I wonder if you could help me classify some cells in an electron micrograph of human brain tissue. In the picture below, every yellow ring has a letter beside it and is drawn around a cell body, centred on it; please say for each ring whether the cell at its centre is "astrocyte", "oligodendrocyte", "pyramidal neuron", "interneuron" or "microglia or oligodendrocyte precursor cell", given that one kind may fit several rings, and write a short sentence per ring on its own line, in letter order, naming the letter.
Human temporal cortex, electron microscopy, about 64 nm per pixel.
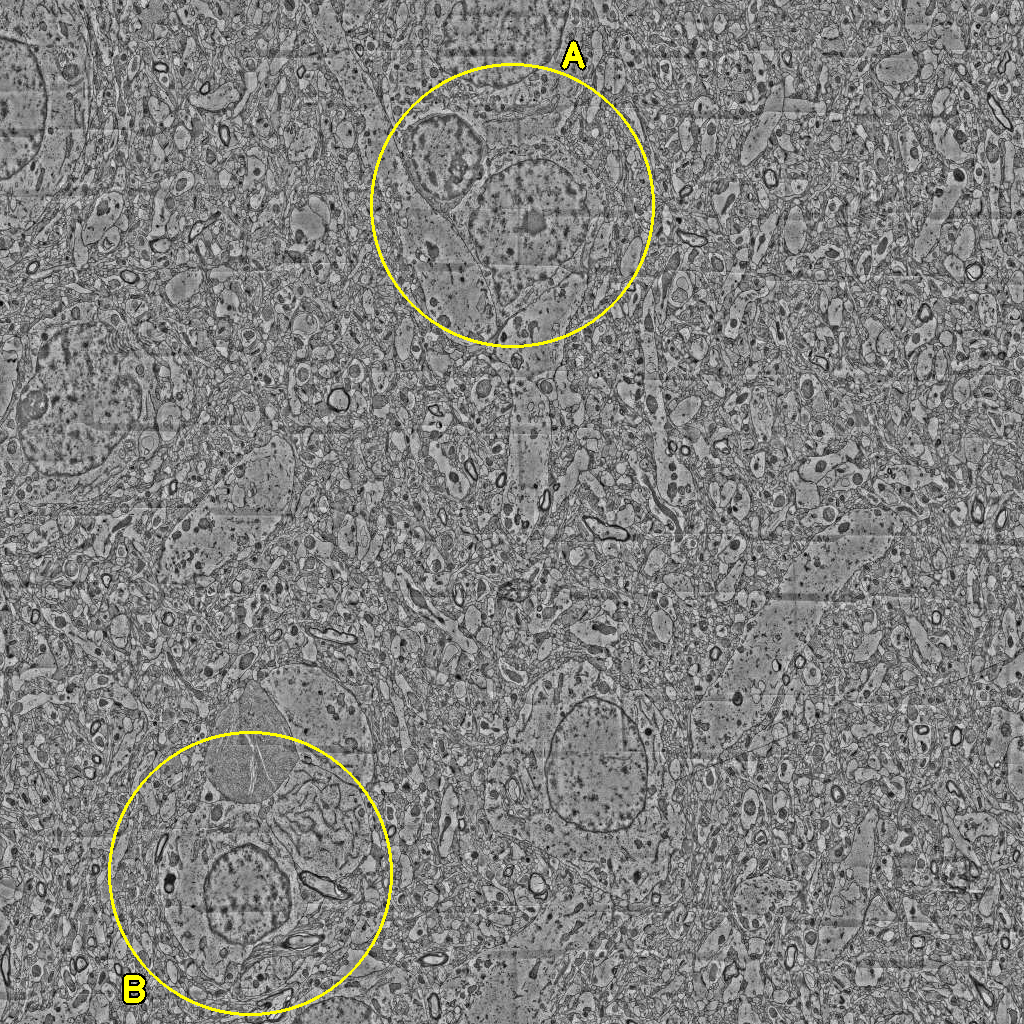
Centred in ring A is an interneuron.
Centred in ring B is a pyramidal neuron.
